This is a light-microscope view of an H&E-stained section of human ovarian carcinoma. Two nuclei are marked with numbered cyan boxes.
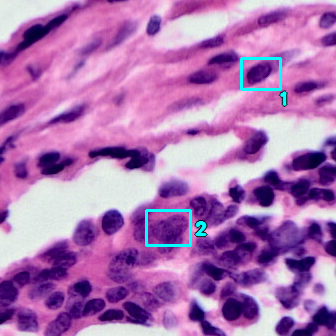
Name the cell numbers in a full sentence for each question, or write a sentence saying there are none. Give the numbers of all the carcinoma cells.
Of the marked cells, the one numbered 2 is a carcinoma cell and the rest are not.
